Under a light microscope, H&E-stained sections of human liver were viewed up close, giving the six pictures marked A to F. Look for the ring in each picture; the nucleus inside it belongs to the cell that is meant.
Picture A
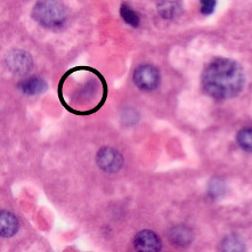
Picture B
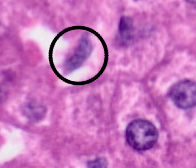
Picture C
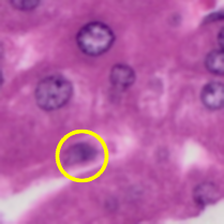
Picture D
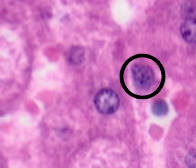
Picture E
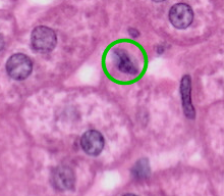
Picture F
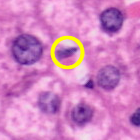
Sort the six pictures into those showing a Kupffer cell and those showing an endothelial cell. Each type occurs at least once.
A: Kupffer cell
B: Kupffer cell
C: Kupffer cell
D: Kupffer cell
E: endothelial cell
F: endothelial cell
